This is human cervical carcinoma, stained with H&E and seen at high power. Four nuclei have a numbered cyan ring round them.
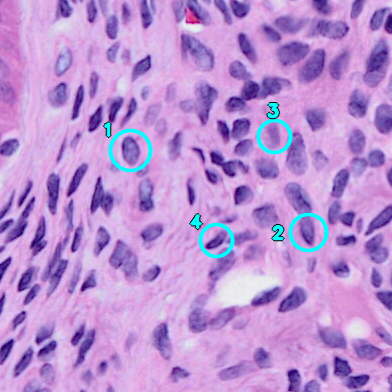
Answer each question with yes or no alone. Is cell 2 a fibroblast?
yes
